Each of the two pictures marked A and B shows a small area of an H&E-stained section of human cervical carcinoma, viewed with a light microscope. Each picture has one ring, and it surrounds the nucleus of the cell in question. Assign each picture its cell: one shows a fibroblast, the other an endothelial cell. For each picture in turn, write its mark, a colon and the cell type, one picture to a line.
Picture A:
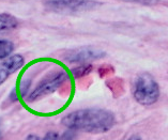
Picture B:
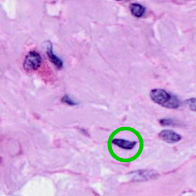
A: endothelial cell
B: fibroblast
